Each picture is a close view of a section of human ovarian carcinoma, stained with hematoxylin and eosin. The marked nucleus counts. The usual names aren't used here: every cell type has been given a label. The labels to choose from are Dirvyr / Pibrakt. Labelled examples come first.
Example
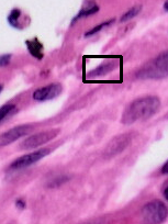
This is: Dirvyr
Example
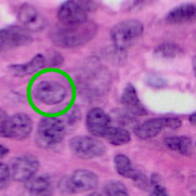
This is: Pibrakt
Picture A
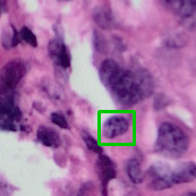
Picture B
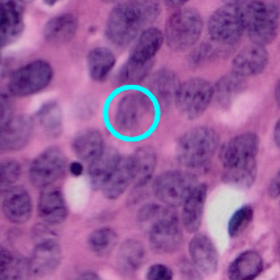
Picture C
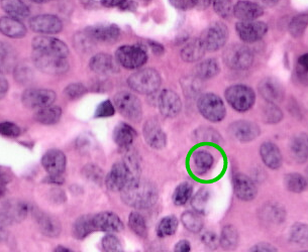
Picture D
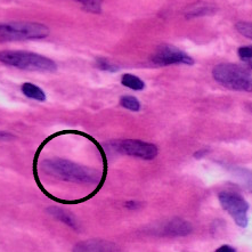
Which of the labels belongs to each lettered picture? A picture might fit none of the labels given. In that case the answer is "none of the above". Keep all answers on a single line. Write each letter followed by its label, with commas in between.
A none of the above, B Pibrakt, C none of the above, D Dirvyr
